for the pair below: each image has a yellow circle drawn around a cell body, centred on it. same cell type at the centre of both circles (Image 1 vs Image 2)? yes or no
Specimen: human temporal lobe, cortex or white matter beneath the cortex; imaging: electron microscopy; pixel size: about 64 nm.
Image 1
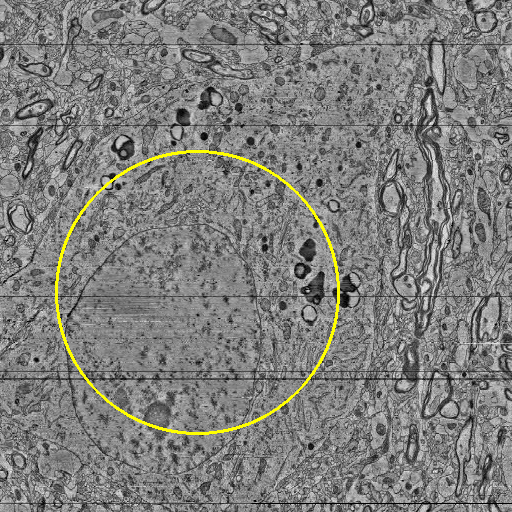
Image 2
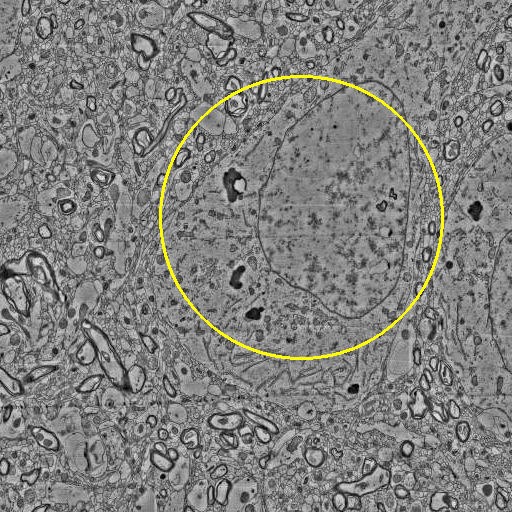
yes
